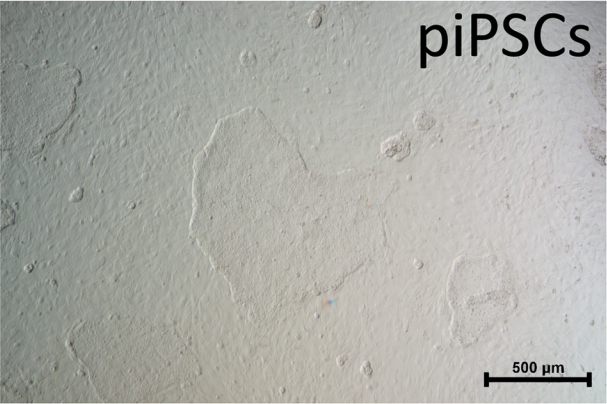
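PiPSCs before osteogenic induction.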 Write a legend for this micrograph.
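The colonies are flat and rounded to irregular in outline, with smooth, well-defined borders. The cells inside each colony are small and tightly packed, so that single cells are hard to separate. The colonies sit on a background layer of flattened cells with a finely textured surface. A few small round bodies are scattered over the dish.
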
